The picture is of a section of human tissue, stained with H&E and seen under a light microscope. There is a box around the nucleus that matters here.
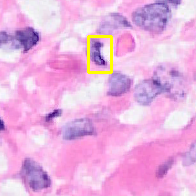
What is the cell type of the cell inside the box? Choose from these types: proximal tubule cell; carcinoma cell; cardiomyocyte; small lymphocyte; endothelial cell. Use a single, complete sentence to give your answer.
It is as an endothelial cell that the cell inside the box is recorded.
